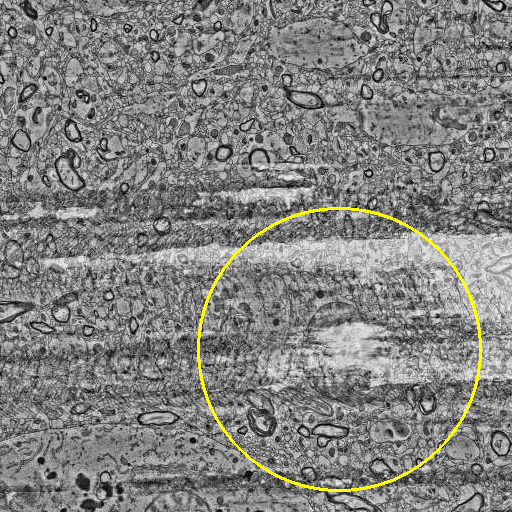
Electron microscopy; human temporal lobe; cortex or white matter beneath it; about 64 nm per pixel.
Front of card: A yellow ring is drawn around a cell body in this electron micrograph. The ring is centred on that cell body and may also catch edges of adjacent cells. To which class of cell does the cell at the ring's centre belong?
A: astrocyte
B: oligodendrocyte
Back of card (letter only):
B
